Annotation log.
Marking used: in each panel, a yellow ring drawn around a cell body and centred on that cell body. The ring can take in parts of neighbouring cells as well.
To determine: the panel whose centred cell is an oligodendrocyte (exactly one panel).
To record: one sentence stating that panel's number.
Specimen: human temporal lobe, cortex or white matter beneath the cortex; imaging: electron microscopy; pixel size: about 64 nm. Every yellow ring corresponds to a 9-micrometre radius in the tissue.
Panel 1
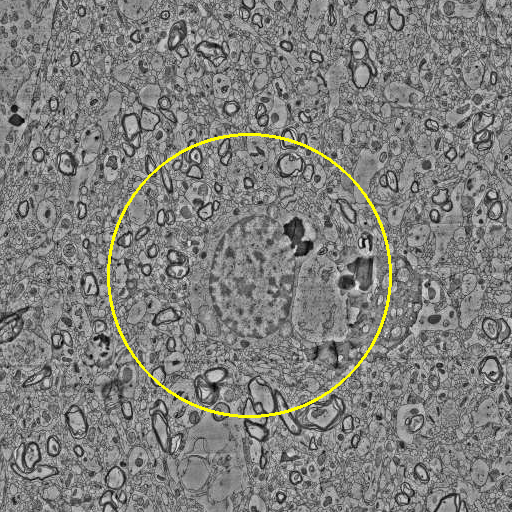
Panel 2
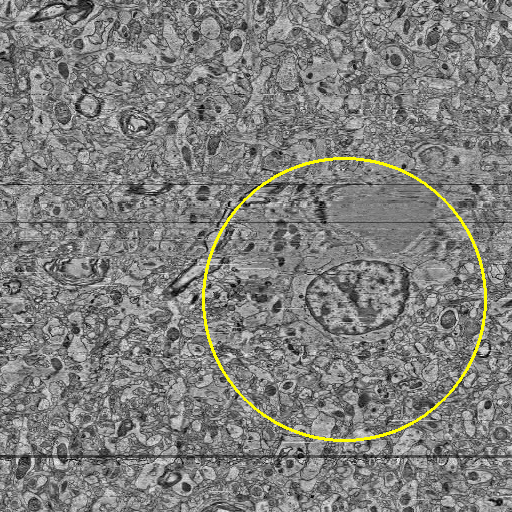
Panel 1 shows it at the centre of its ring.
